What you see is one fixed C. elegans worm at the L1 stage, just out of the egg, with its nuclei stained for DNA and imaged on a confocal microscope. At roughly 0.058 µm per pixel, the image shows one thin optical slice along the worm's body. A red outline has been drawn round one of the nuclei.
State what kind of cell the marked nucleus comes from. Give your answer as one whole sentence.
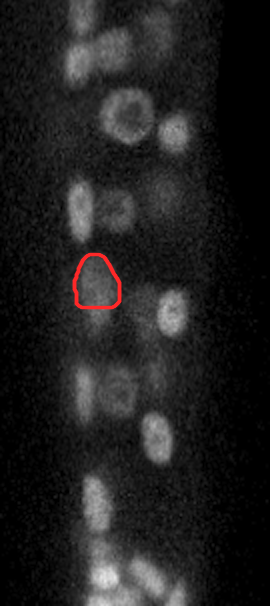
This nucleus is from a P cell (ventral epidermal blast cell).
